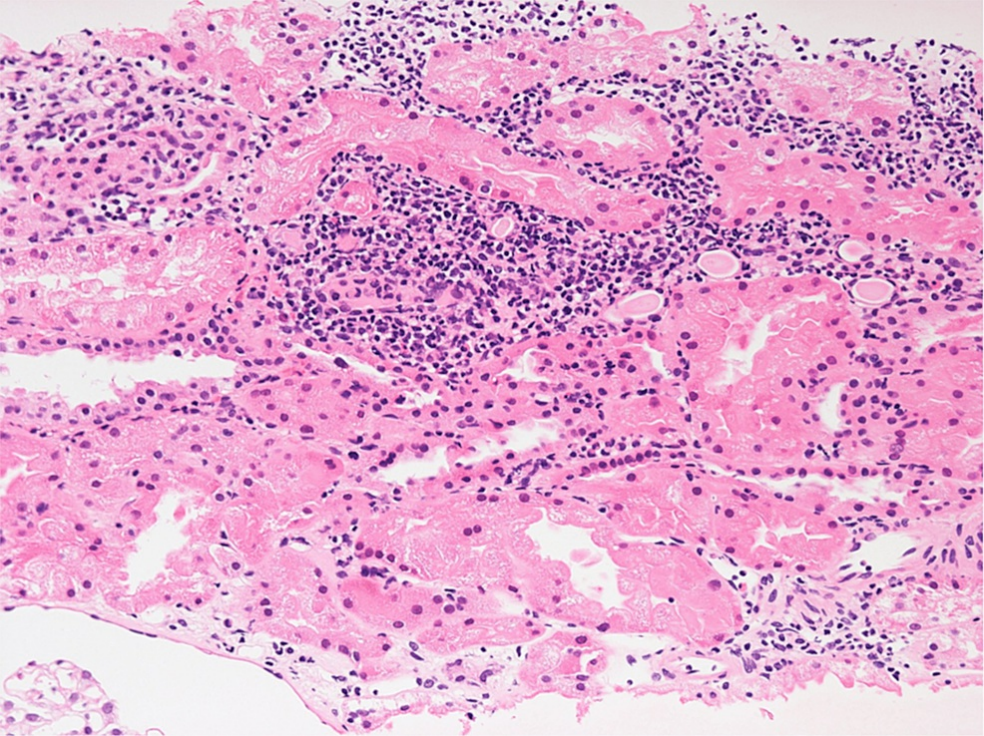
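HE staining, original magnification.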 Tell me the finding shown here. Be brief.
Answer: Lymphocytic infiltrate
